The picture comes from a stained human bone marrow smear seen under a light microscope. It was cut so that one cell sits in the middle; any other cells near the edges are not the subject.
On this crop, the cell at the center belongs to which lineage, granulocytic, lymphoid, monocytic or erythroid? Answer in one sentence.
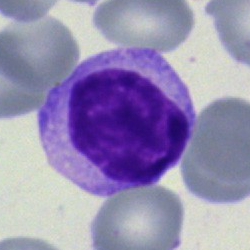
Lineage-wise, the cell in the center of the crop is monocytic.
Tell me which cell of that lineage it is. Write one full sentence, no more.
Standing at the centre of this crop is a monocyte.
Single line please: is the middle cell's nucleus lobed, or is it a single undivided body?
The nuclear material is gathered into one compact round, oval or kidney-shaped mass.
